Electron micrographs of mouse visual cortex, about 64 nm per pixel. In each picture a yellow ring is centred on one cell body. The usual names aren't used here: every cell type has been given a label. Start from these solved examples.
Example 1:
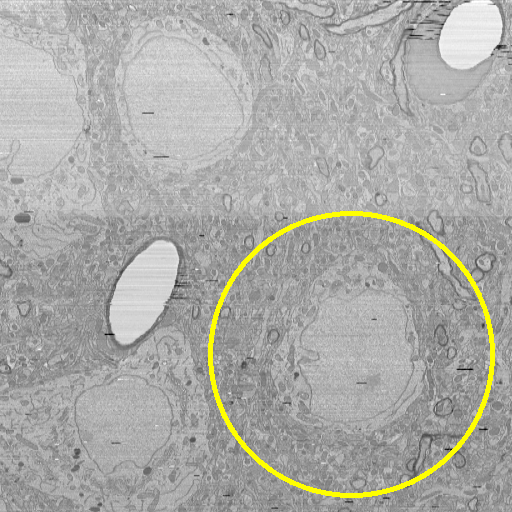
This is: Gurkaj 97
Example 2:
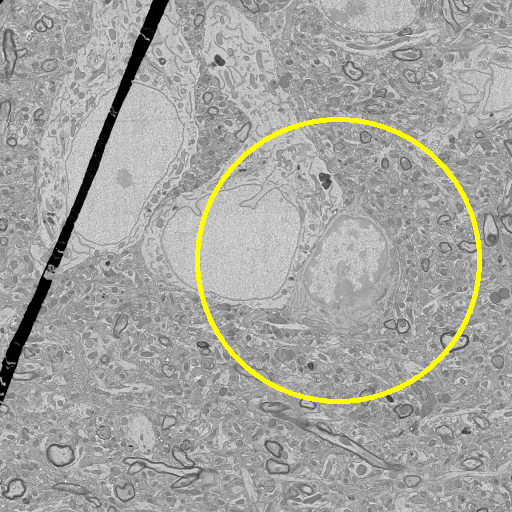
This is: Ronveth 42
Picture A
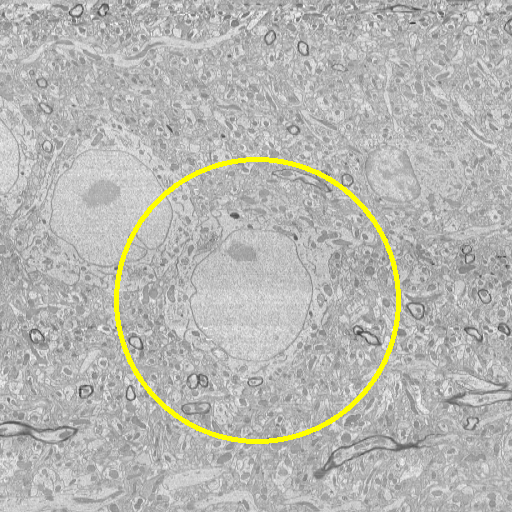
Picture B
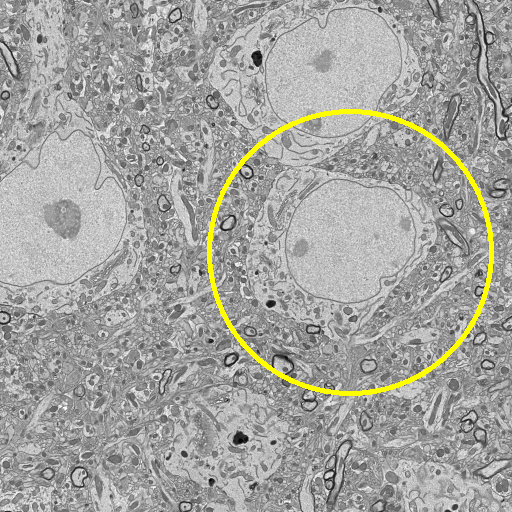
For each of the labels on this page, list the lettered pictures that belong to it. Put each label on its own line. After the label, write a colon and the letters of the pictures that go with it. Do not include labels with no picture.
Gurkaj 97: A, B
